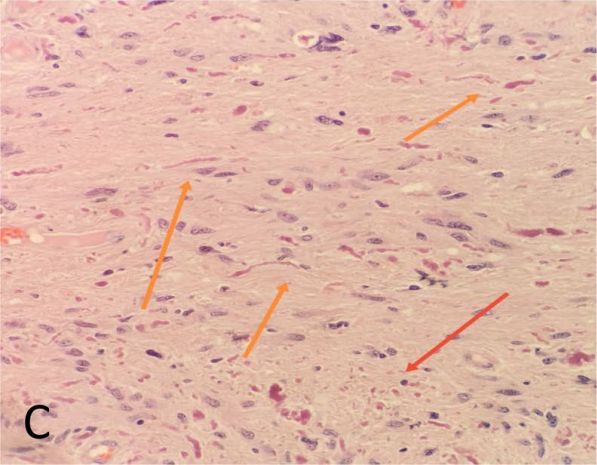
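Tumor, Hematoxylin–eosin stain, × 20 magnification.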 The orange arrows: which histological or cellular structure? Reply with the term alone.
Rosenthal fibers.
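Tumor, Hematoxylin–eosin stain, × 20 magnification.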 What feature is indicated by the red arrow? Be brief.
Eosinophilic granular bodies.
